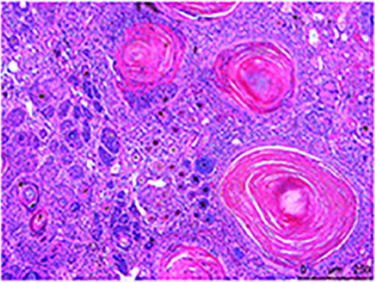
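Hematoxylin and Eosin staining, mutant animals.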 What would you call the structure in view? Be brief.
large cysts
